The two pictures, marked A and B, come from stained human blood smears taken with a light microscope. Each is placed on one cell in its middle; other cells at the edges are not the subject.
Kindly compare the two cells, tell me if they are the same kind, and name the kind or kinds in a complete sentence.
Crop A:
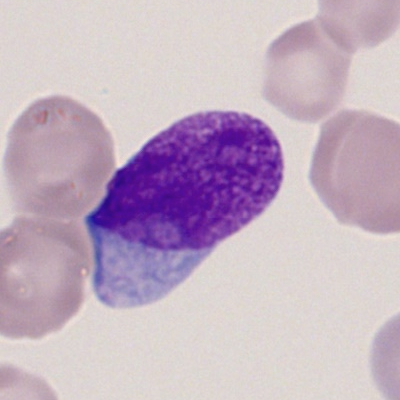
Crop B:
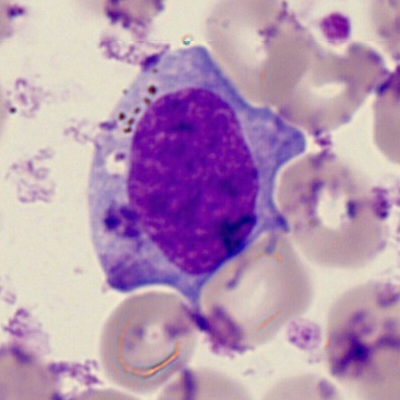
Yes, both the first crop and the second crop show myeloblasts.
